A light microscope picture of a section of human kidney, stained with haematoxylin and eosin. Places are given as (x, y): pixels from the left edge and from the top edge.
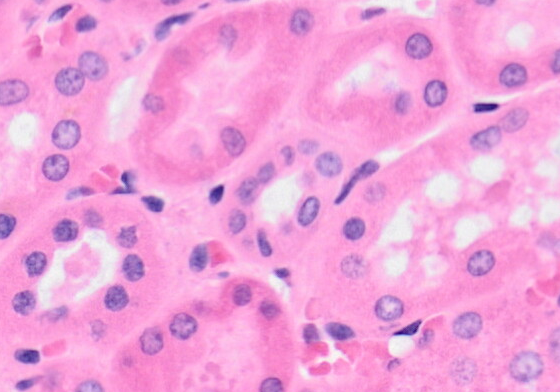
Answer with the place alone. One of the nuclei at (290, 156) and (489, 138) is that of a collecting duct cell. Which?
(290, 156)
